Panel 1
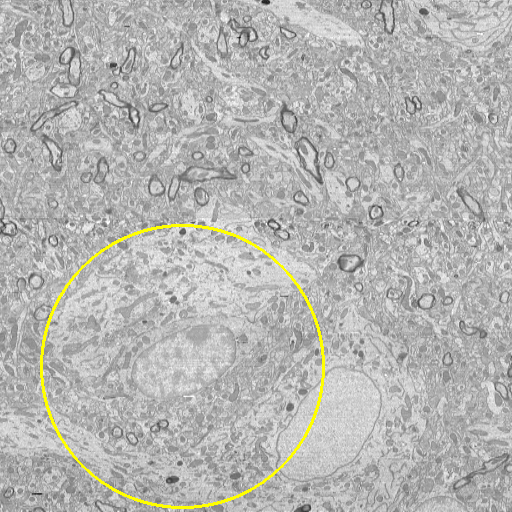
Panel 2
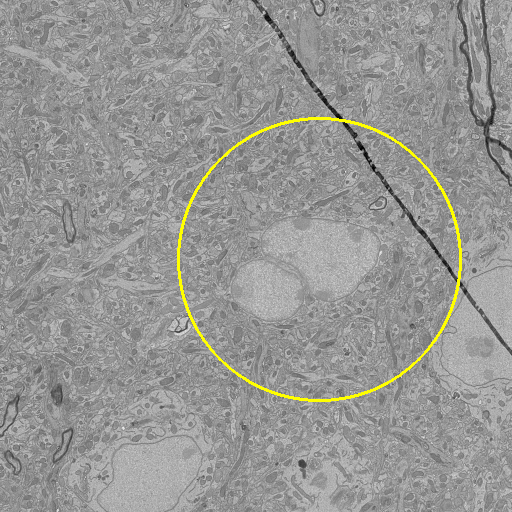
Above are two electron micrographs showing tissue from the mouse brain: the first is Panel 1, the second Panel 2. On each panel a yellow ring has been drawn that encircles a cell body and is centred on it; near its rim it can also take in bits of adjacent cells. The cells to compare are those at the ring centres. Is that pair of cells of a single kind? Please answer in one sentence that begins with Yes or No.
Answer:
No, the ring-centred cells of Panel 1 and Panel 2 belong to two kinds.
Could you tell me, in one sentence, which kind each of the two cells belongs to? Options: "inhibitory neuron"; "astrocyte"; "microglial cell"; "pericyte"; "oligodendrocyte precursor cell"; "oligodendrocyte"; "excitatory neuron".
At the centre of the first ring sits an oligodendrocyte, and at the centre of the second sits an astrocyte.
